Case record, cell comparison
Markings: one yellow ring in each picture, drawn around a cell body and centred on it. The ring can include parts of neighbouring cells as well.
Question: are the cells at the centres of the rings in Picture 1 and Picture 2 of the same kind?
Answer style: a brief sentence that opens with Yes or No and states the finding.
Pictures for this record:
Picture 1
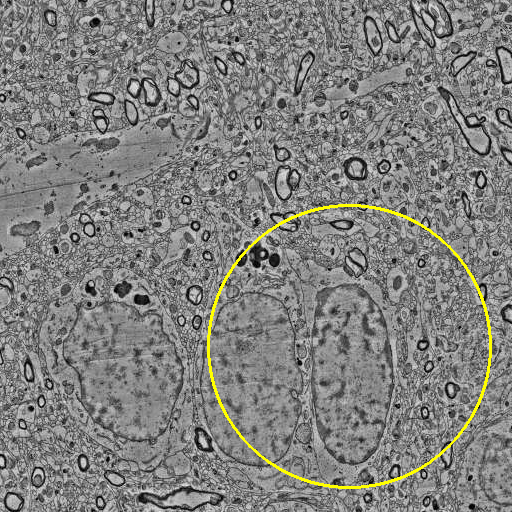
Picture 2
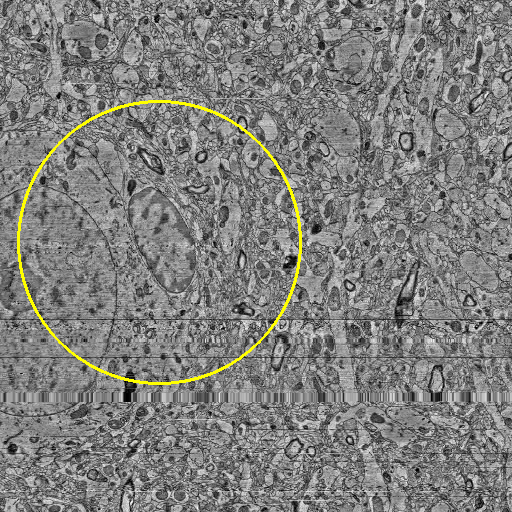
Yes, the cells in Picture 1 and Picture 2 are of the same kind.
